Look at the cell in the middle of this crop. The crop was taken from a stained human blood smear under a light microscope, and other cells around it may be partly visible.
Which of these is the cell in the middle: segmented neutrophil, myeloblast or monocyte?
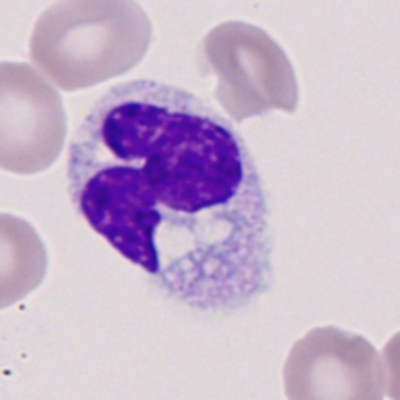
monocyte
